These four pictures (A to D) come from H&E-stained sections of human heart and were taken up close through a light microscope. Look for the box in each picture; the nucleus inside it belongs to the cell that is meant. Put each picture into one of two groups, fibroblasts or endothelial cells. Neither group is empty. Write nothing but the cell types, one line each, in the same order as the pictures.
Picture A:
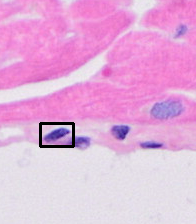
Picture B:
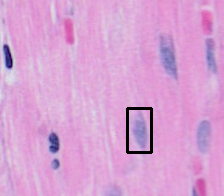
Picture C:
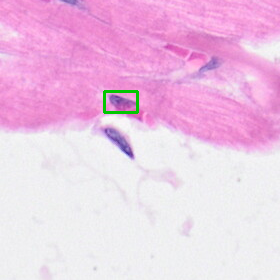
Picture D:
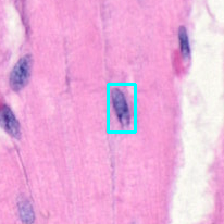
fibroblast
endothelial cell
fibroblast
endothelial cell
